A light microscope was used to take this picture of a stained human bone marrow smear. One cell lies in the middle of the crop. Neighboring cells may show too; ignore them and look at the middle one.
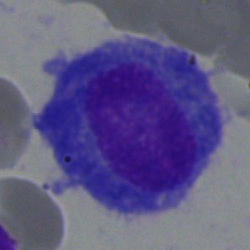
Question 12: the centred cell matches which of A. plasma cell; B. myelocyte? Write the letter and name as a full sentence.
Located in the middle of the crop is a plasma cell, and option A is therefore correct.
